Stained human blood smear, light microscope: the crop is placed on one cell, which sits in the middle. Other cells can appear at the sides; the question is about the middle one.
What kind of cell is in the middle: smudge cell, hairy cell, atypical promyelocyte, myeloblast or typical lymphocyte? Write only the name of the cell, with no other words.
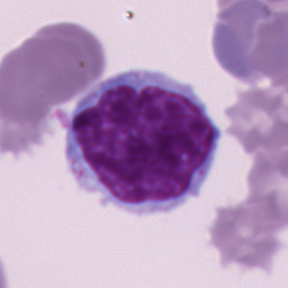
typical lymphocyte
